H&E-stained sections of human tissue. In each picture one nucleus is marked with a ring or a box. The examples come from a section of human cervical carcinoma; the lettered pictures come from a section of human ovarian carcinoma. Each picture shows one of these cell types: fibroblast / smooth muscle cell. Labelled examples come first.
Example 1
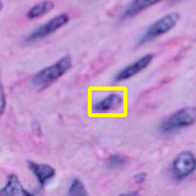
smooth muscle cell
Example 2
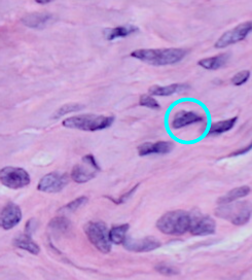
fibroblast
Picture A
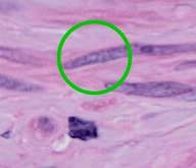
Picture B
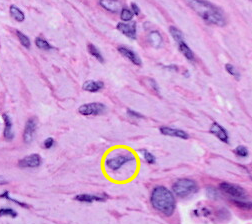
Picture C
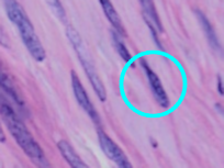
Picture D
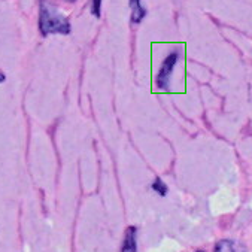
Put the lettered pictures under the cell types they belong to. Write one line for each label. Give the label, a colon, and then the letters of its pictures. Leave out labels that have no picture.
fibroblast: B, D
smooth muscle cell: A, C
